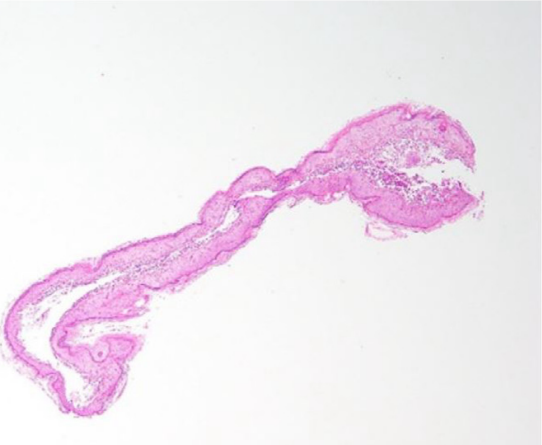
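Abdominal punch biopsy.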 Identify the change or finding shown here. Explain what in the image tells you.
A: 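A thin strip of stratified squamous epithelium lies free, without underlying dermis. Only scant loose material clings to its underside. The answer: Detached fragment of epidermis.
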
